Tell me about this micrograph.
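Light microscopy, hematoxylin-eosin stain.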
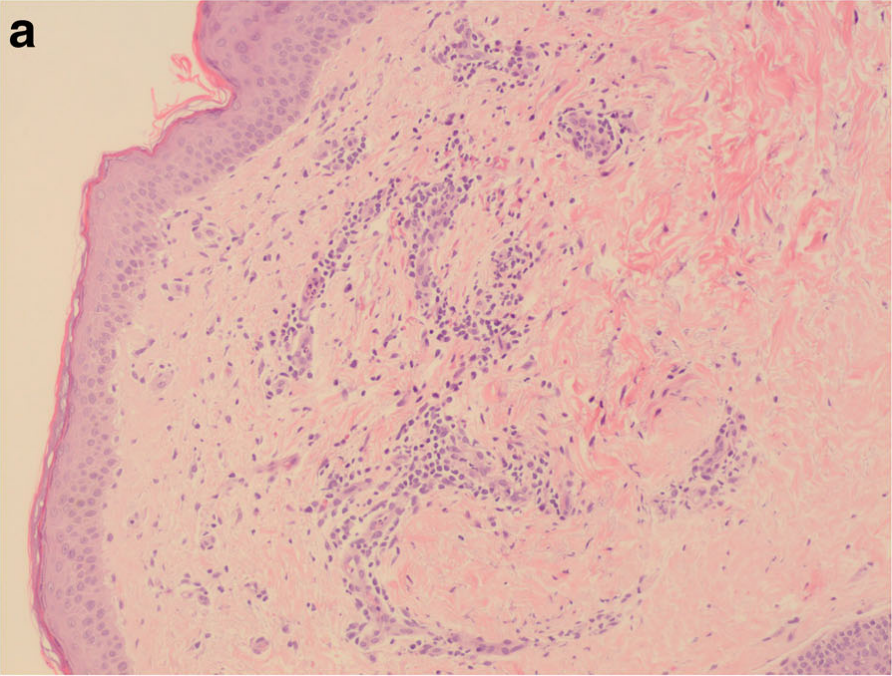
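This is skin, with a stratified squamous epidermis along the left edge and a dermis of pink collagen beneath it. In the upper and mid dermis, small lymphocytes with round, dark nuclei and scant cytoplasm gather in cuffs around small blood vessels. The infiltrate is patchy and follows the vessels rather than spreading diffusely through the dermis. Between the cuffs, the collagen bundles are loosely arranged and sparsely cellular. The epidermis has a thin layer of compact pink keratin on its surface.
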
